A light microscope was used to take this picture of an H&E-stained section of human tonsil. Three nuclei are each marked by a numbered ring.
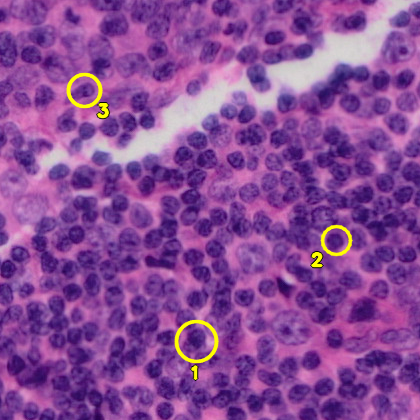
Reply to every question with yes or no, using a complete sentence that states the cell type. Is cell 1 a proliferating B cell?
No, number 1 does not mark a proliferating B cell; it marks a small lymphocyte.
